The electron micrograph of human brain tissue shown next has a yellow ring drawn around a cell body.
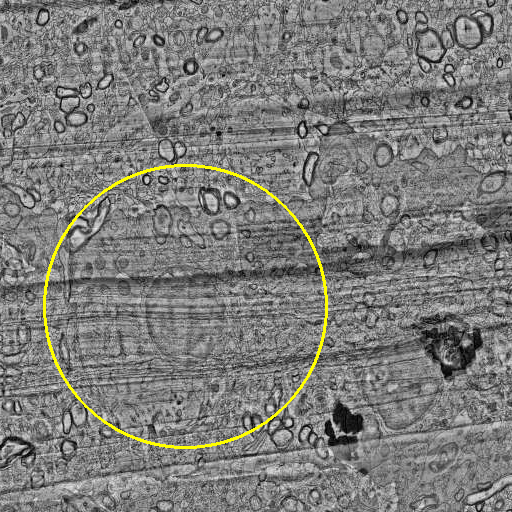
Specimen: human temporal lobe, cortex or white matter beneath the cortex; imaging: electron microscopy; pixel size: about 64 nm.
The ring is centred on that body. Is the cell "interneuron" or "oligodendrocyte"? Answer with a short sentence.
The cell in question is an oligodendrocyte.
